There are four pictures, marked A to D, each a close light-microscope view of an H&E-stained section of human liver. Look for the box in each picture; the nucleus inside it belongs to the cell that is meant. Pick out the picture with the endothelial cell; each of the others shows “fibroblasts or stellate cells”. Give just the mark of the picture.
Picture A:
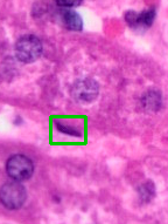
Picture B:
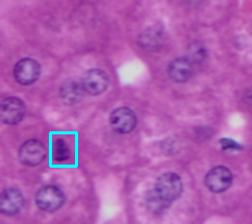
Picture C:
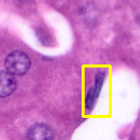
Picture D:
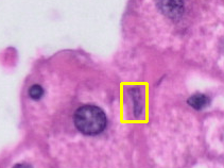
A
